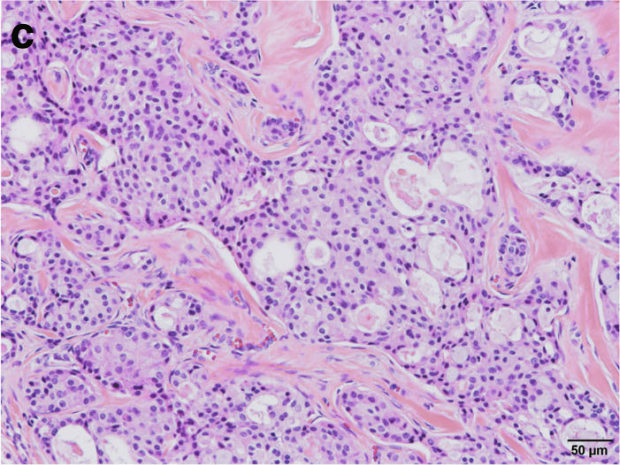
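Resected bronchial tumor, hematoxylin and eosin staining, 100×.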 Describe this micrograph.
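Crowded nests and sheets of epithelial cells with small round dark nuclei fill the field, divided by bands of dense pink fibrous stroma. Among them lie pale, clear-looking cells and small gland-like spaces holding wispy pale material. The mix of solid epidermoid-looking cell nests with mucus-filled glandular spaces fits a mucoepidermoid carcinoma growing in a gland-forming pattern.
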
